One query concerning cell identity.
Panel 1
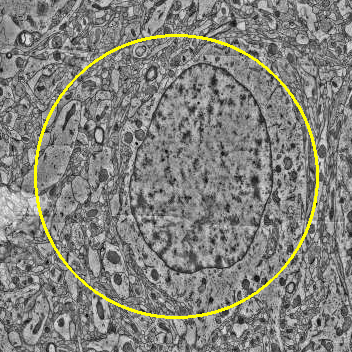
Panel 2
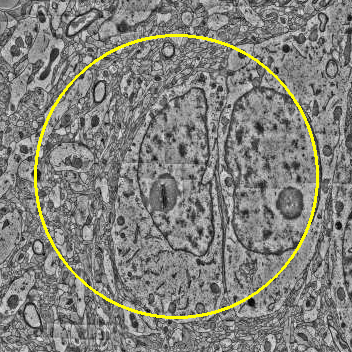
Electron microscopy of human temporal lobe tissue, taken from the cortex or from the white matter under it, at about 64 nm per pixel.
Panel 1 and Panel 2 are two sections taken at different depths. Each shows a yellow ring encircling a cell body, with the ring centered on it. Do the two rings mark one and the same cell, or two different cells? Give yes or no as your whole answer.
yes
